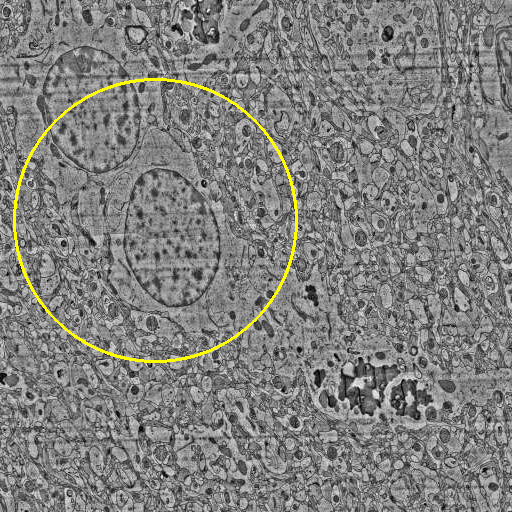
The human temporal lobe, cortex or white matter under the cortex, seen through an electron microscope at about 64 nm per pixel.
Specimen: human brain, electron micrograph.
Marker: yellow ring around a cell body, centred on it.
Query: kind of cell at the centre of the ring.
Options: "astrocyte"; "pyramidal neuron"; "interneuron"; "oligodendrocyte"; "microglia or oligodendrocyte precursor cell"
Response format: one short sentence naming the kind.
This cell body belongs to an astrocyte.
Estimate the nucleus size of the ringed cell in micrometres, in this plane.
In this plane the nucleus measures roughly 9 by 6 micrometres.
